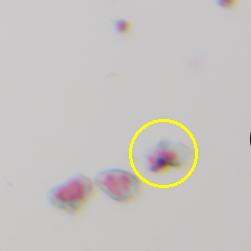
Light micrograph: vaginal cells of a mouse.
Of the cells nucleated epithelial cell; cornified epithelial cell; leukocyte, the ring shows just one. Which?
The ring shows a nucleated epithelial cell.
